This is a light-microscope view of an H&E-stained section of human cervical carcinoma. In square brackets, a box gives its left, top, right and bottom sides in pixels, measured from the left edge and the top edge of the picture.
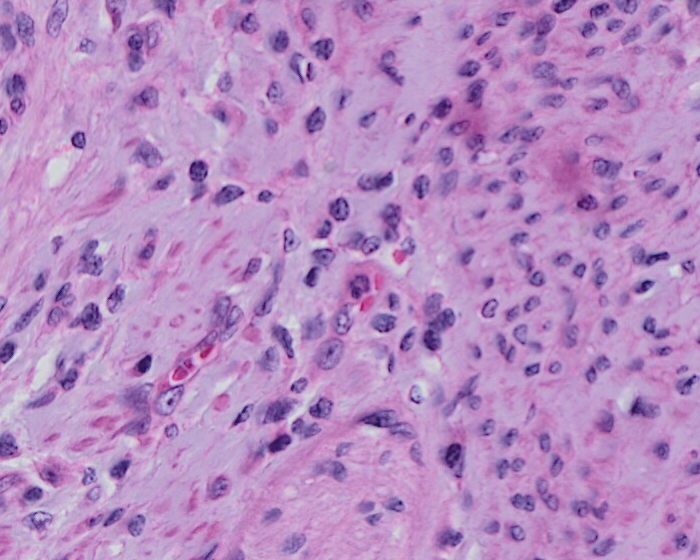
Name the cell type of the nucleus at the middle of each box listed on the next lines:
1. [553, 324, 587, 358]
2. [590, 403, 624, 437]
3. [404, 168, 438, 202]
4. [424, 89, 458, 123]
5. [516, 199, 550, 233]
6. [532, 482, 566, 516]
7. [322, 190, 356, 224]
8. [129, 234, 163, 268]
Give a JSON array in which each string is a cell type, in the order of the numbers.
["smooth muscle cell", "smooth muscle cell", "lymphocyte", "lymphocyte", "smooth muscle cell", "smooth muscle cell", "lymphocyte", "smooth muscle cell"]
